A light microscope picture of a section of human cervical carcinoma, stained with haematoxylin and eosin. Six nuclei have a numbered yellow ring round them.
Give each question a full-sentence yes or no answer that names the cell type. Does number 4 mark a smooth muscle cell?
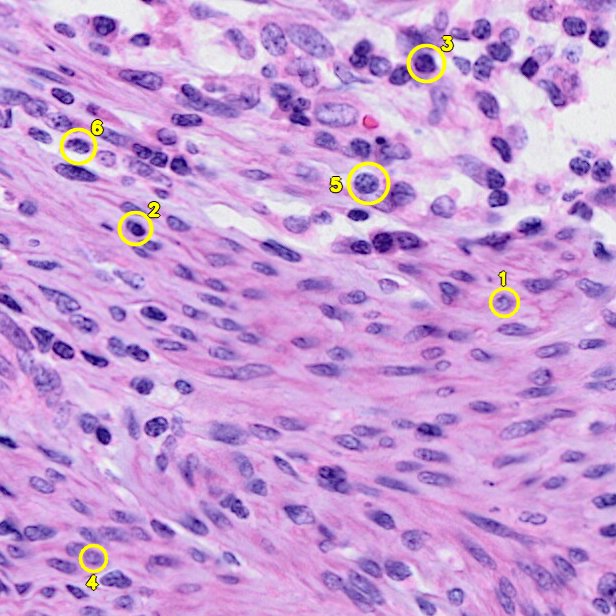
Yes, for number 4, the cell is a smooth muscle cell.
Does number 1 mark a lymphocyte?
No, number 1 does not mark a lymphocyte; it marks a smooth muscle cell.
